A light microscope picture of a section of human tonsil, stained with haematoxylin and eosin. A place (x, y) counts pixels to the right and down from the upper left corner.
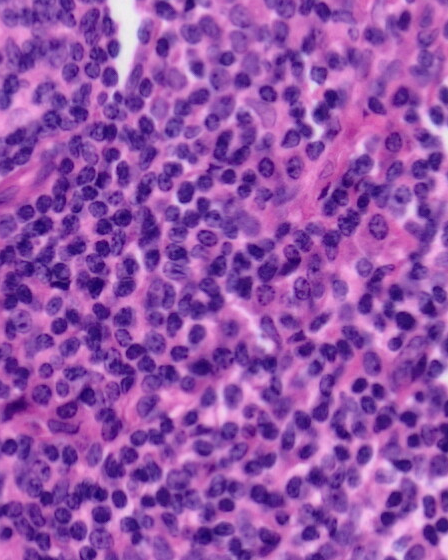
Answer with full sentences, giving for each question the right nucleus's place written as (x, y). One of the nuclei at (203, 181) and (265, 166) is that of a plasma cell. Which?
Of the two nuclei, the one sitting at (265, 166) belongs to a plasma cell.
